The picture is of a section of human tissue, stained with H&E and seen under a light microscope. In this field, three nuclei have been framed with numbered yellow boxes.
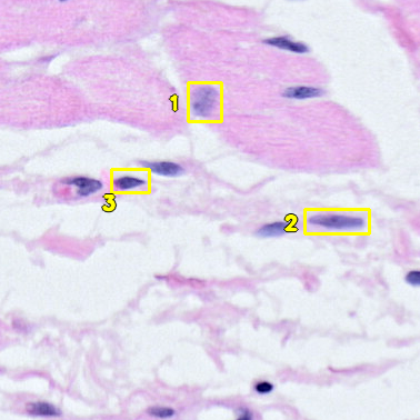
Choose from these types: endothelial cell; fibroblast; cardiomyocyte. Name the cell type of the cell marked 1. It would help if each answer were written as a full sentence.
What the number 1 marks in this field is a cardiomyocyte.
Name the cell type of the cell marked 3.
The cell that goes by number 3 is a fibroblast.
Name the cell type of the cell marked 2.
Cell 2 in the field is a fibroblast.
